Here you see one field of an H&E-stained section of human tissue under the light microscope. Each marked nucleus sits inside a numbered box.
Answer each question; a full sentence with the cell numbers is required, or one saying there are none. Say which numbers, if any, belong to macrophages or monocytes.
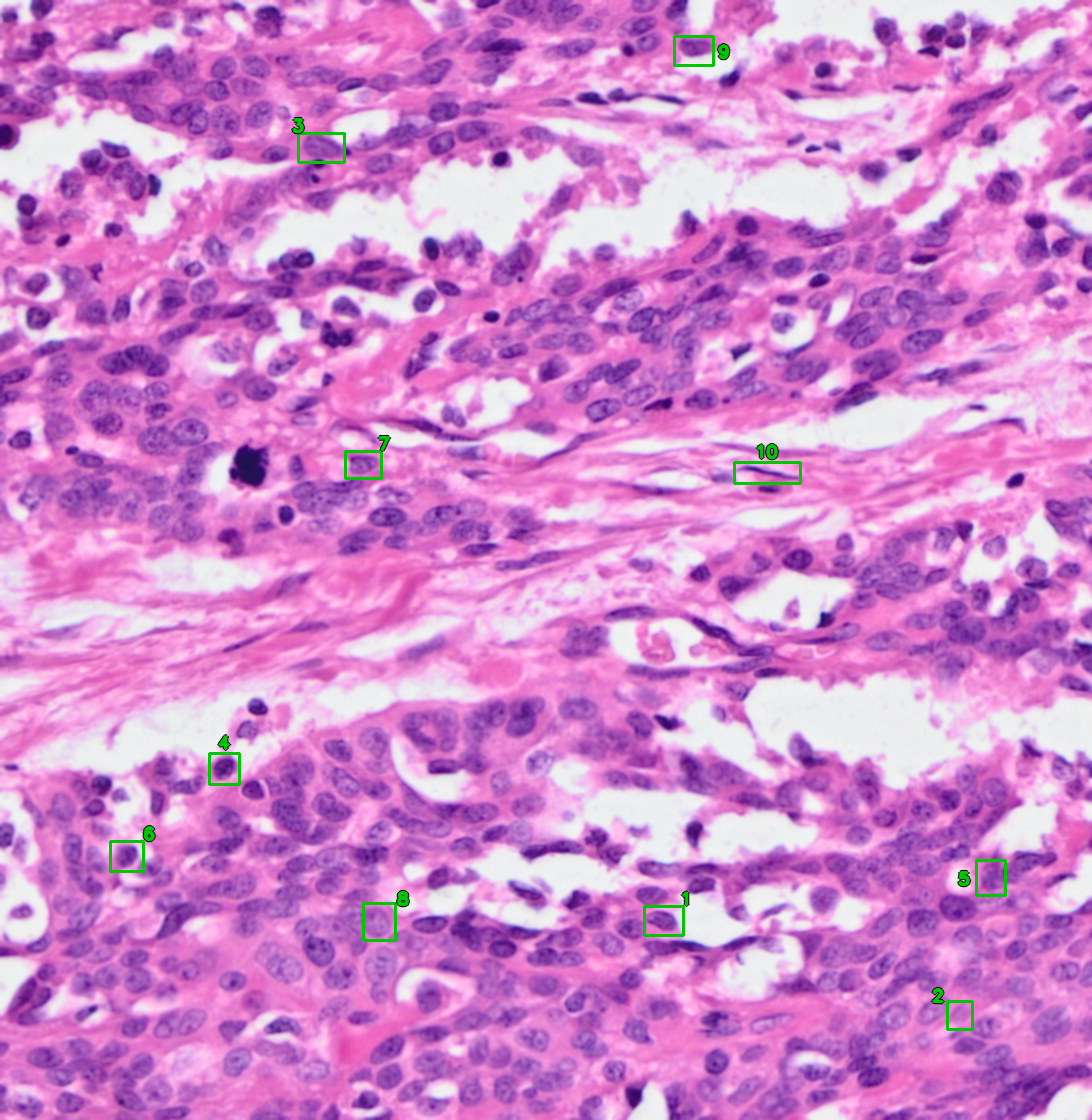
Cells 1, 4 and 7 are classified as macrophages or monocytes.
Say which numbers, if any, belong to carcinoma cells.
The cells numbered 2, 3, 5, 6, 8 and 9 are identified as carcinoma cells.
